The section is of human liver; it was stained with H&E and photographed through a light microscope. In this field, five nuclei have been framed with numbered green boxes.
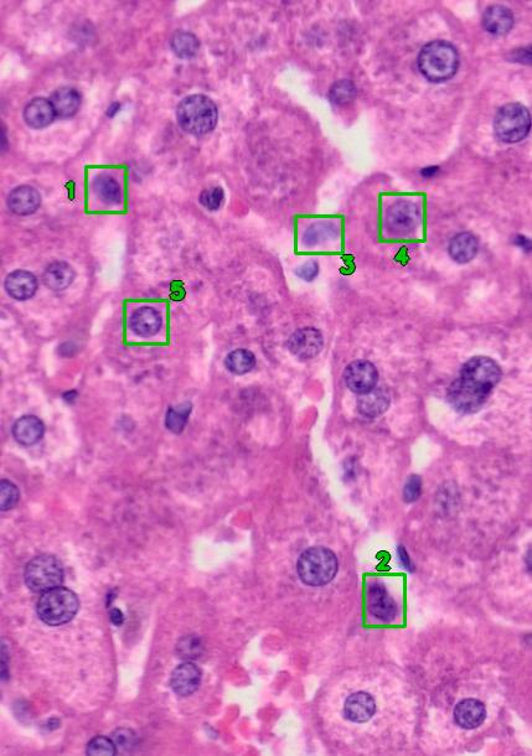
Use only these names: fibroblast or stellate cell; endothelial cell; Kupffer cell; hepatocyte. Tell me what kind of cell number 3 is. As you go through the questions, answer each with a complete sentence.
The cell carrying label 3 is identified as an endothelial cell.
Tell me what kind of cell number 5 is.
Cell 5 of the marked set is a hepatocyte.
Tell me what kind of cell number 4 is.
Numbered cell 4 is a hepatocyte in this tissue section.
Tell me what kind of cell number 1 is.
Here, the cell given the number 1 is an endothelial cell.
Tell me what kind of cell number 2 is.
The cell that goes by number 2 is a Kupffer cell.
